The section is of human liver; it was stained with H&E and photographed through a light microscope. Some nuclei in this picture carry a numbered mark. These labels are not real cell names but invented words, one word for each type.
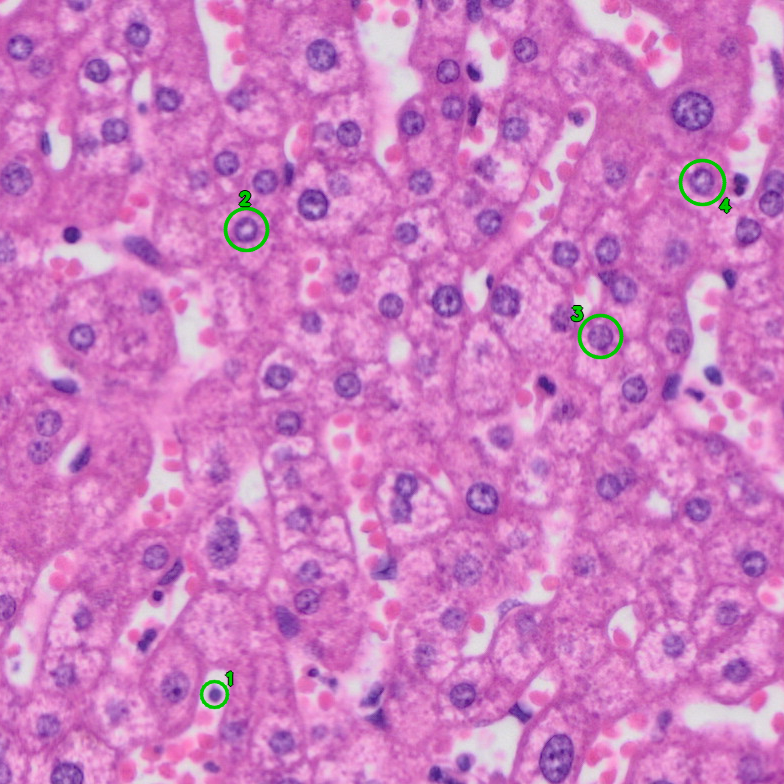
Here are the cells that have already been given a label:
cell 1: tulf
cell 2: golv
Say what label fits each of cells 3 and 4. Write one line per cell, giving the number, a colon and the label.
3: golv
4: golv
